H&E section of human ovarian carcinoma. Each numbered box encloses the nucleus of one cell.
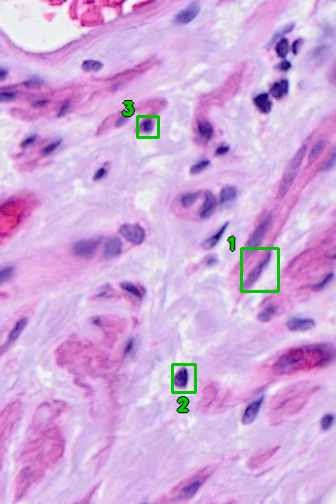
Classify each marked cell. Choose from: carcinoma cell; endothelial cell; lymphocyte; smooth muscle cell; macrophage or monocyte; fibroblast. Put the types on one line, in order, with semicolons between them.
smooth muscle cell; lymphocyte; smooth muscle cell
